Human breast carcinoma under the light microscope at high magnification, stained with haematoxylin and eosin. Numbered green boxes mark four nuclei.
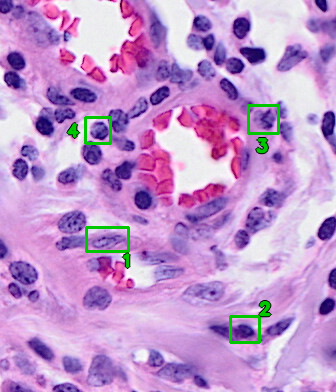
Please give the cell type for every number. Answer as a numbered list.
1. endothelial cell
2. lymphocyte
3. lymphocyte
4. lymphocyte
